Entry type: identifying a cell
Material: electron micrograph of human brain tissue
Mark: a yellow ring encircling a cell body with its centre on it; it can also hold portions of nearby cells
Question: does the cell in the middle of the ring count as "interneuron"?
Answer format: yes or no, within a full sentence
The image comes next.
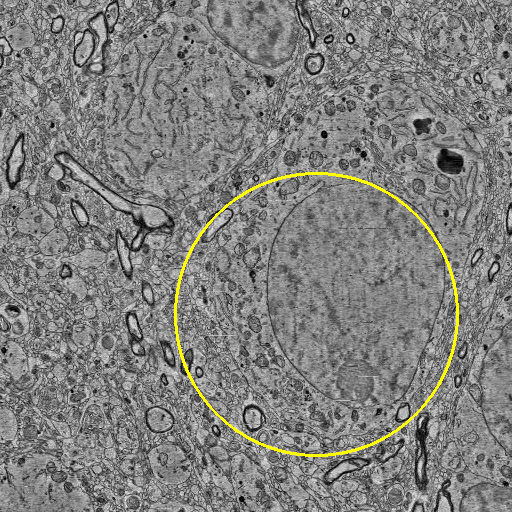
Yes, in the image, the cell in the middle of the yellow ring counts as the queried kind.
